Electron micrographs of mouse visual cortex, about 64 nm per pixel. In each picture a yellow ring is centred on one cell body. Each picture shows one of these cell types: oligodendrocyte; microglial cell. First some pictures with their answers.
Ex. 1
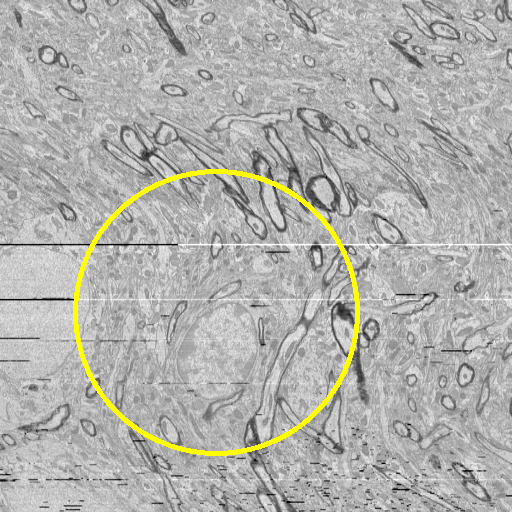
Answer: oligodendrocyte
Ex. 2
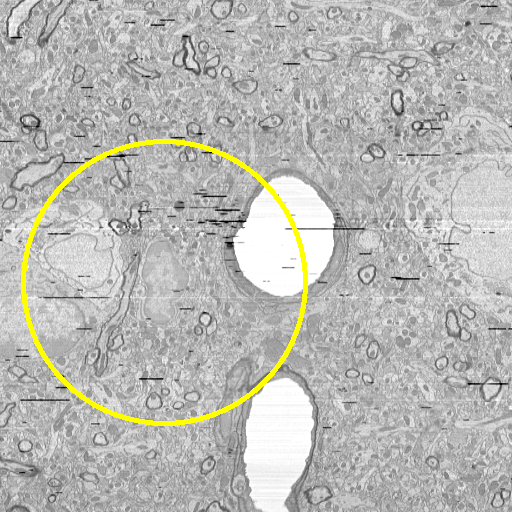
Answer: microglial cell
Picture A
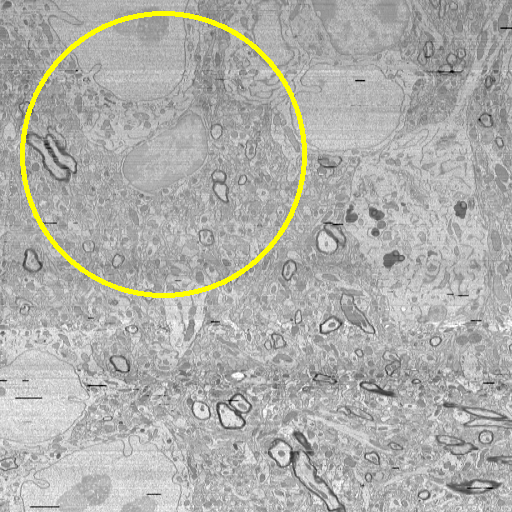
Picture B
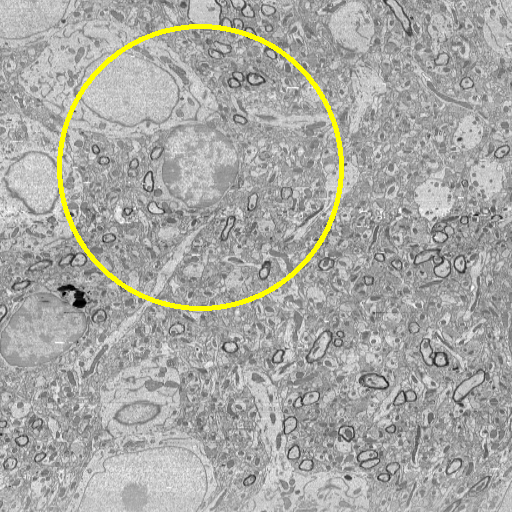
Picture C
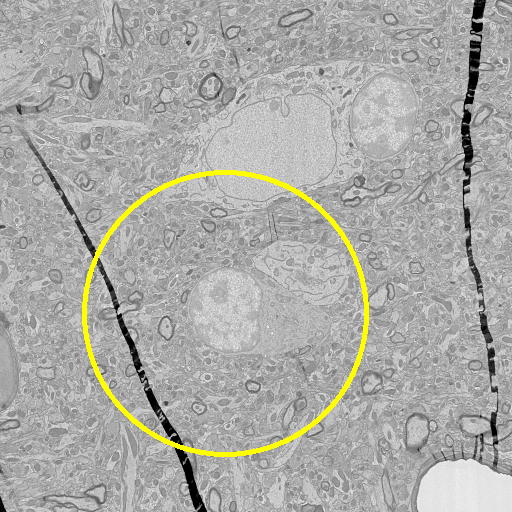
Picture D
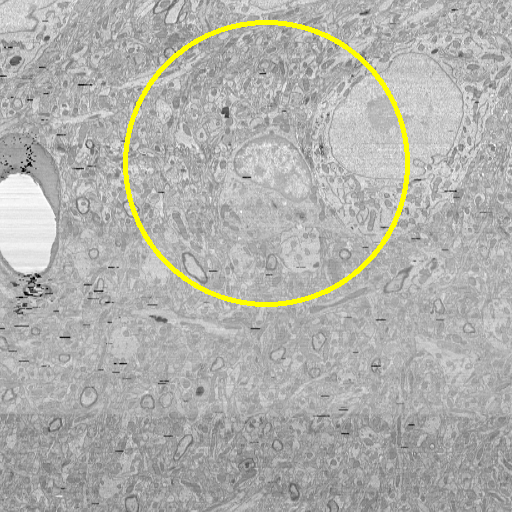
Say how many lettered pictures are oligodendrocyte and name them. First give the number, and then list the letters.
3: B, C, D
